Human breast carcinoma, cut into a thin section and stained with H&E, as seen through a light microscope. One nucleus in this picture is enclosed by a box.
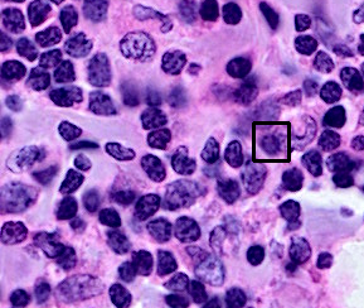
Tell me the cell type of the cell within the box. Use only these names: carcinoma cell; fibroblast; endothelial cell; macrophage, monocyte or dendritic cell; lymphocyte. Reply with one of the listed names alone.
lymphocyte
